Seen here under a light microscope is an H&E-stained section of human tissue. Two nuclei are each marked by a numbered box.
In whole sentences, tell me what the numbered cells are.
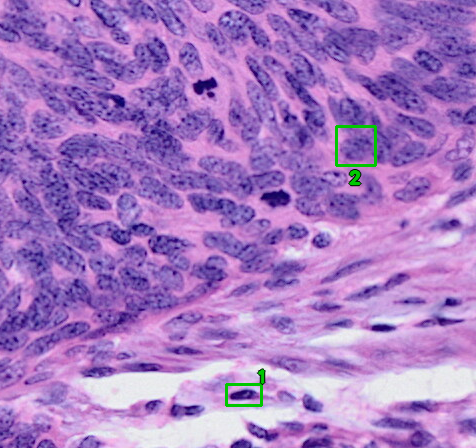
Cell 1 is a lymphocyte. Cell 2 is a squamous carcinoma cell.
